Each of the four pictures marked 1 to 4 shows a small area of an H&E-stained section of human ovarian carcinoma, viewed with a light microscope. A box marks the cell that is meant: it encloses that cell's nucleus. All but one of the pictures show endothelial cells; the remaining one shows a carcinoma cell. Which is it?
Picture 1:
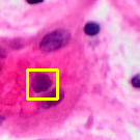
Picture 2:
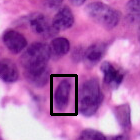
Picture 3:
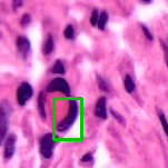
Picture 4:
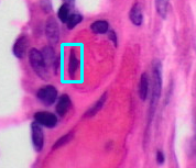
2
